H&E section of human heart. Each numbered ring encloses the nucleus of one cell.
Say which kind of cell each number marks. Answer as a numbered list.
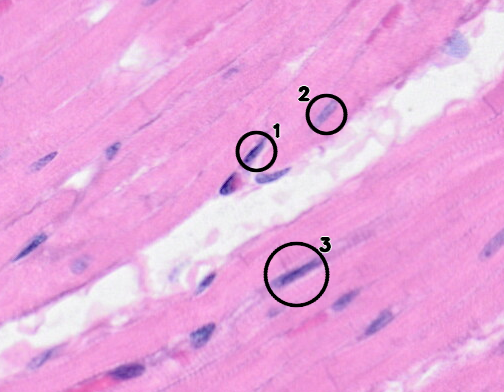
1. endothelial cell
2. cardiomyocyte
3. endothelial cell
